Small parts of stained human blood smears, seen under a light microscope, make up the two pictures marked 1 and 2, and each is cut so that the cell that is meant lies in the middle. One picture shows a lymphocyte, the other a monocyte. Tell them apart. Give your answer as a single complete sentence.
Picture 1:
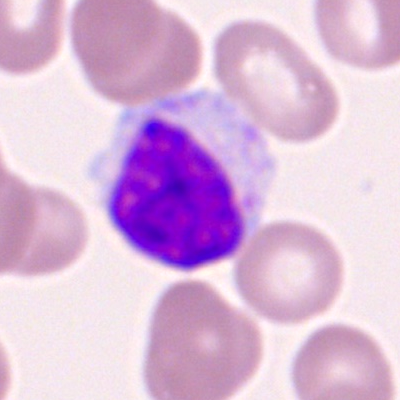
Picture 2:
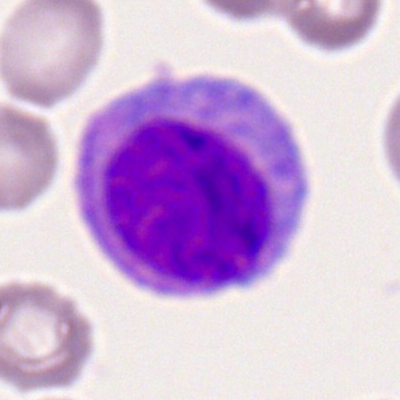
Picture 1 shows a lymphocyte and picture 2 shows a monocyte.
